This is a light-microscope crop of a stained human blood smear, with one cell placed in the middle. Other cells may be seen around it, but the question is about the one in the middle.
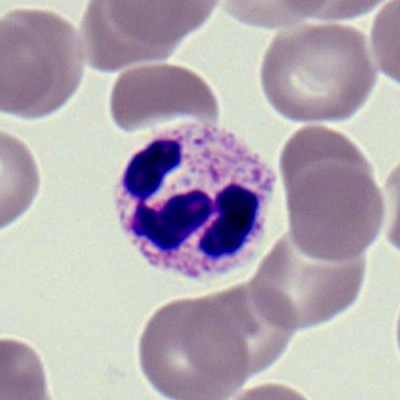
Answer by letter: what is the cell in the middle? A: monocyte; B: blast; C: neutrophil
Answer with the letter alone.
C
